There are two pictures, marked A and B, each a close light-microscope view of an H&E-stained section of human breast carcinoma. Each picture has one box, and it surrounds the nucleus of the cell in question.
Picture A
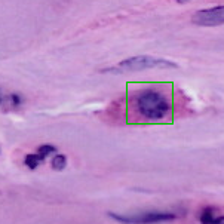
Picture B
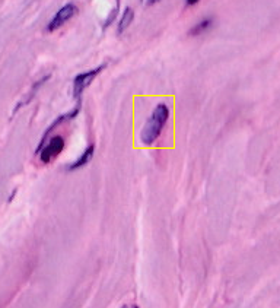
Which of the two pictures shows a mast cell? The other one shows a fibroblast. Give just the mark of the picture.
A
